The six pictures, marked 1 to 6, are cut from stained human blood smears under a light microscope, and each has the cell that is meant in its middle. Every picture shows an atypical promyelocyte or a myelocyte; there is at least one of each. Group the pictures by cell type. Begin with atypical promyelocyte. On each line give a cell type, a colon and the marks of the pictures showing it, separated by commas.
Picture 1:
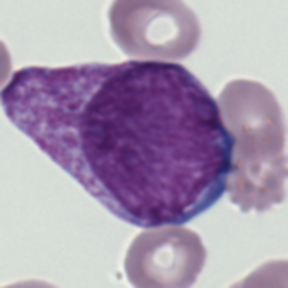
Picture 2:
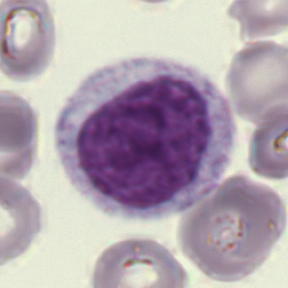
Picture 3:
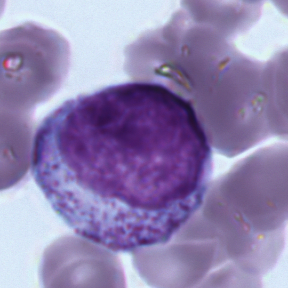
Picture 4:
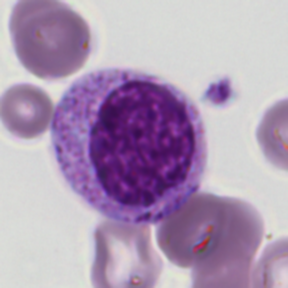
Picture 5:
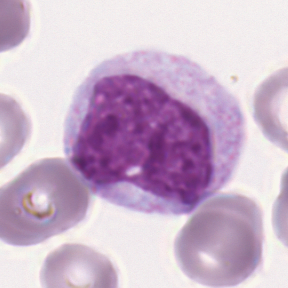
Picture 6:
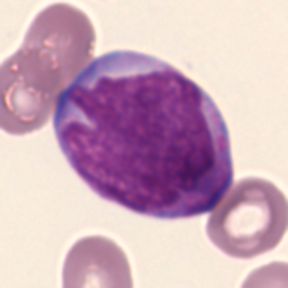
atypical promyelocyte: 1, 6
myelocyte: 2, 3, 4, 5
